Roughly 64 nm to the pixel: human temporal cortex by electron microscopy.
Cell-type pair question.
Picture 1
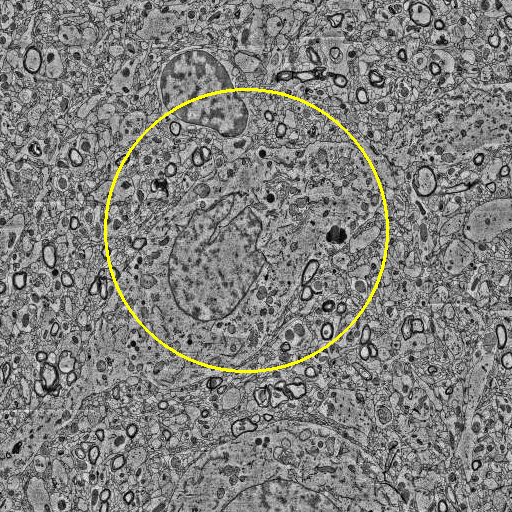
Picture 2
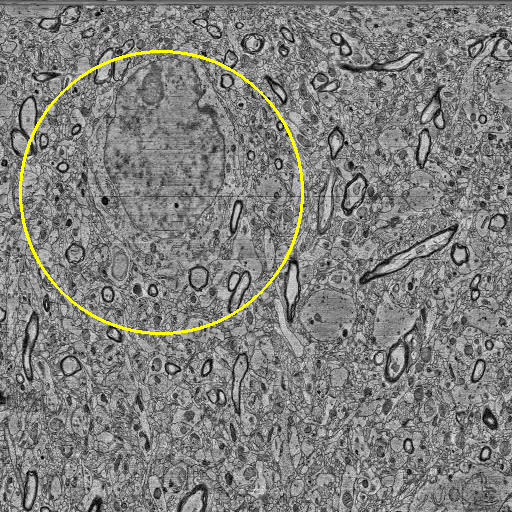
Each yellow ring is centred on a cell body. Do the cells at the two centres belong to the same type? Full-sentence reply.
No, the two cells belong to two types.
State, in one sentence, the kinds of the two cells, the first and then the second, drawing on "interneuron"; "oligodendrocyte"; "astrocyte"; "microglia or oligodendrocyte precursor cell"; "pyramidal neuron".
The ring in the second picture is centred on an interneuron, the ring in the first on a pyramidal neuron.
